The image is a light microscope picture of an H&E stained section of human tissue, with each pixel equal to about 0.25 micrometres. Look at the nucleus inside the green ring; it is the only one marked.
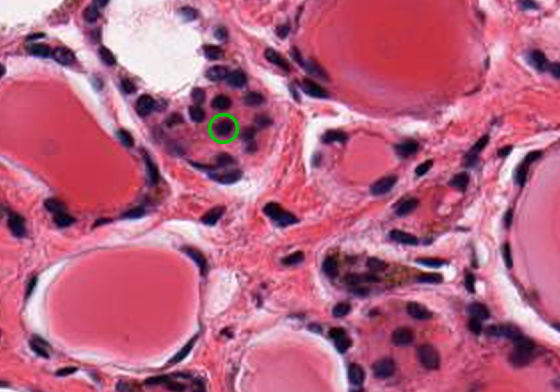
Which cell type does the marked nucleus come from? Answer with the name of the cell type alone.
thyroid follicular cell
